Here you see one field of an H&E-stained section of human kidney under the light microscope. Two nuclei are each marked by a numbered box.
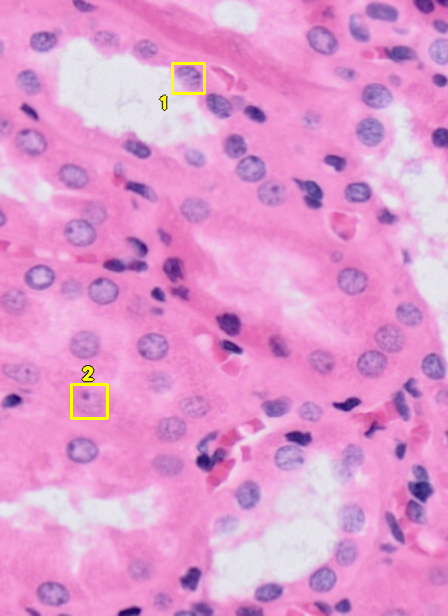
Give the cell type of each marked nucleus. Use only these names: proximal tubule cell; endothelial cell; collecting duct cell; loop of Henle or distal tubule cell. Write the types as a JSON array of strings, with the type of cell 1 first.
["loop of Henle or distal tubule cell", "proximal tubule cell"]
